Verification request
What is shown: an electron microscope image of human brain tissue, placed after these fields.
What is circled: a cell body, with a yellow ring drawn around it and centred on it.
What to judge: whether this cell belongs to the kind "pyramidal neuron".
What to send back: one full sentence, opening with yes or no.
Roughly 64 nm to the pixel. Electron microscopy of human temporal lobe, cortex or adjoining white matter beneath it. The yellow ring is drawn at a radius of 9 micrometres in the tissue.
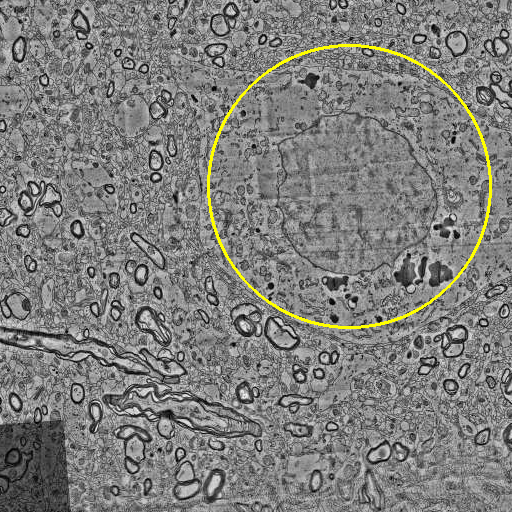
Yes, the cell on which the yellow ring is centred in the picture is of that kind.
